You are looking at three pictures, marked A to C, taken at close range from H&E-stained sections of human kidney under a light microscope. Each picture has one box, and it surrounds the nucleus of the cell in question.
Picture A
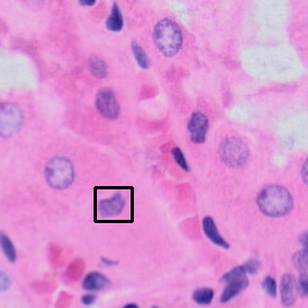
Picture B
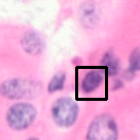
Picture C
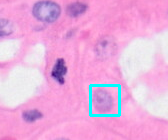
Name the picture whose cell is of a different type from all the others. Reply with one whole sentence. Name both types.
All pictures except B show proximal tubule cells; picture B shows a collecting duct cell.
